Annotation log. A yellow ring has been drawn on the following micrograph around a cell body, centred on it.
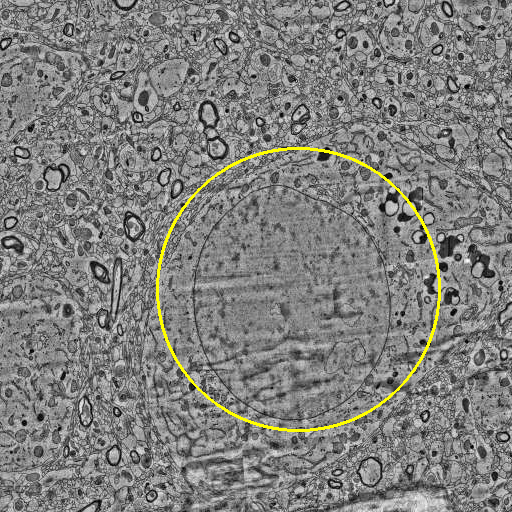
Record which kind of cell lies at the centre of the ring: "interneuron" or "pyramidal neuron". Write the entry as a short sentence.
The cell the ring is centred on is a pyramidal neuron.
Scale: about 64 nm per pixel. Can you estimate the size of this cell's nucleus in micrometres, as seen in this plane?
Approximately 14 micrometers across in this plane.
